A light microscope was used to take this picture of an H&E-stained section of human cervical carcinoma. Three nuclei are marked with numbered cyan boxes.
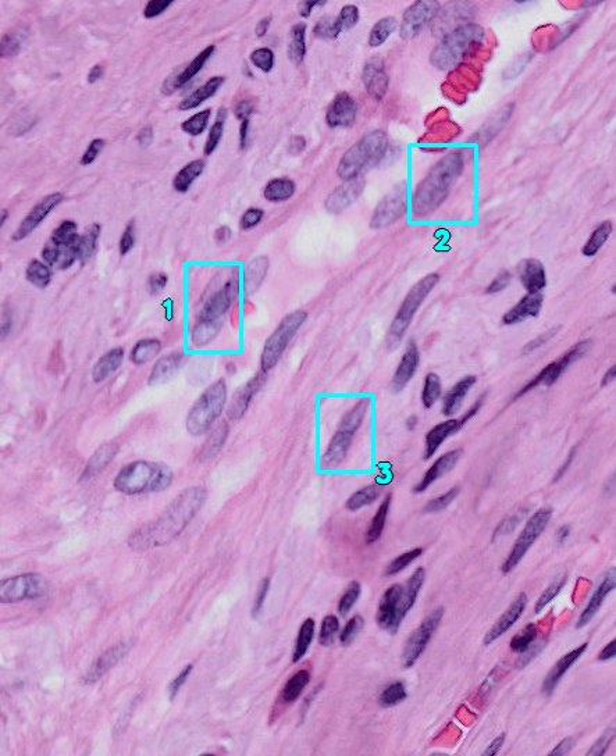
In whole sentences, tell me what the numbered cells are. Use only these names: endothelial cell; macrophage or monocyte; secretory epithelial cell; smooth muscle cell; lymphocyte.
Cell 1 is an endothelial cell, cell 2 is an endothelial cell and cell 3 is a smooth muscle cell.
